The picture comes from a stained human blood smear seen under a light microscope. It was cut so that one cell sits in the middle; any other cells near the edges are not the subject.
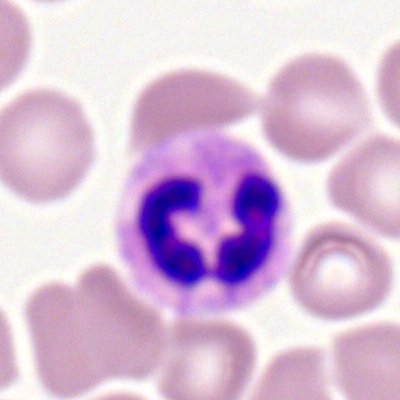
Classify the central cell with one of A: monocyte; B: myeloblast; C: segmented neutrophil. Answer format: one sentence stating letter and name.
Since the cell in the middle is a segmented neutrophil, option C is correct.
